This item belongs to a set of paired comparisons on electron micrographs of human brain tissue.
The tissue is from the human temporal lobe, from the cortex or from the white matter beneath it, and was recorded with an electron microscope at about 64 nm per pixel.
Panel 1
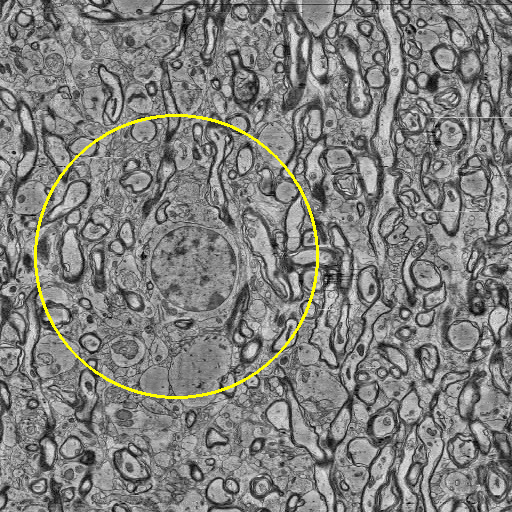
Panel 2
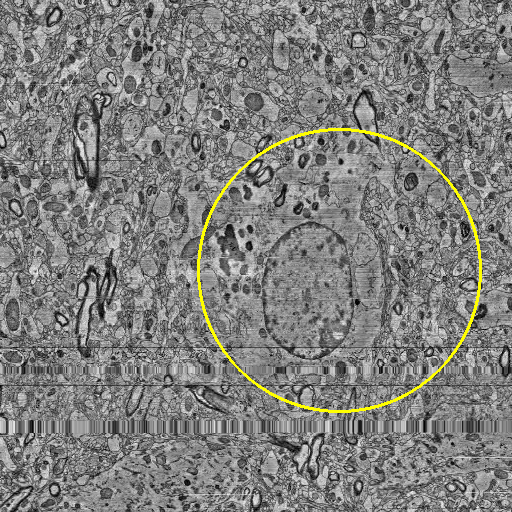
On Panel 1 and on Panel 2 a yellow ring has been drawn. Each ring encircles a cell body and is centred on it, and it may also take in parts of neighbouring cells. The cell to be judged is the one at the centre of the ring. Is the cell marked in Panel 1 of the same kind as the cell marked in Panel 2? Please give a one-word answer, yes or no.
no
